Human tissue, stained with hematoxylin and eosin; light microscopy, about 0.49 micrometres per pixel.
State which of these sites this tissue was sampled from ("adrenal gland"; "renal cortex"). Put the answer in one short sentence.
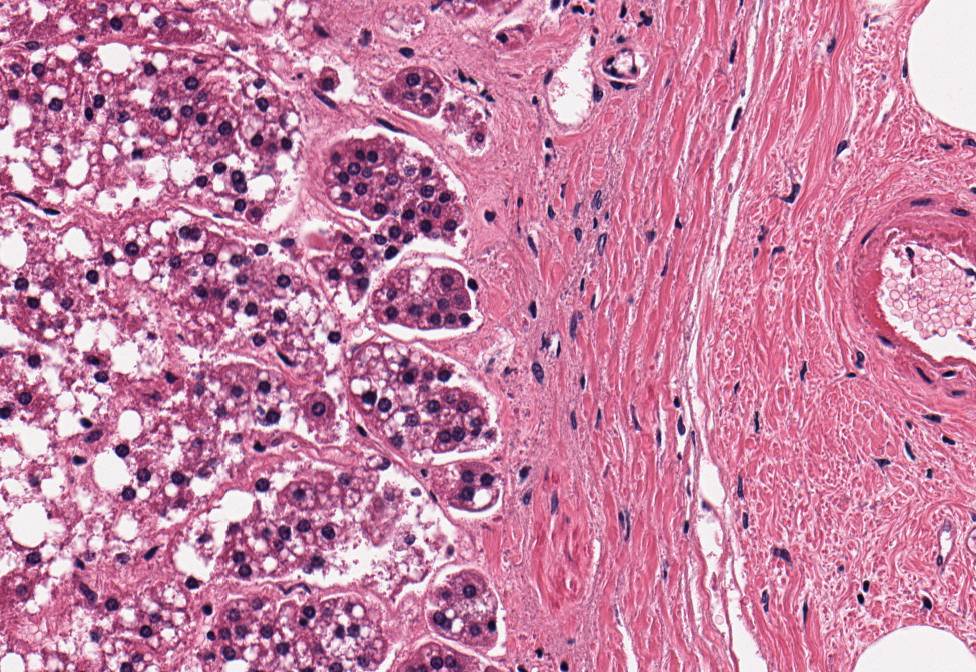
The site this tissue was sampled from is the adrenal gland.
